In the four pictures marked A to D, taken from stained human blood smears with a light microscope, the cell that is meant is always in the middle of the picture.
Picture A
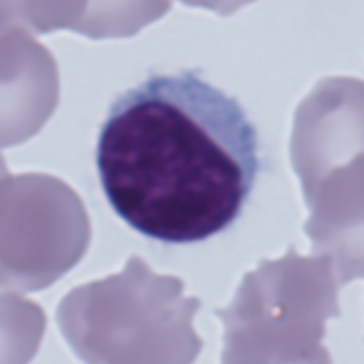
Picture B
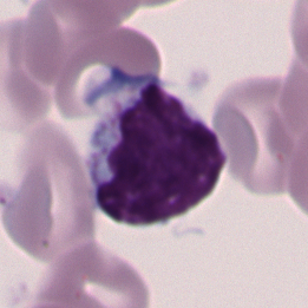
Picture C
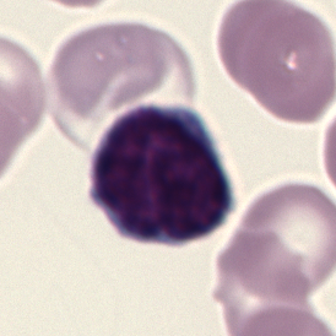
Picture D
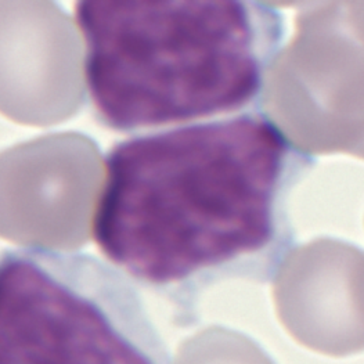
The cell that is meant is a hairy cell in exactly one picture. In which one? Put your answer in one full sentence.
The picture with the hairy cell is A.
